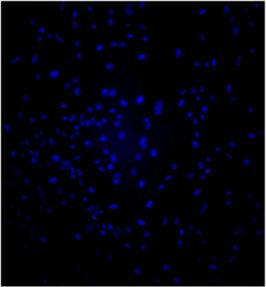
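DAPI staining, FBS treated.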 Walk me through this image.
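Fluorescence view of cultured cells in which only the nuclei are lit, blue on a black background. The nuclei are small, oval to round and of similar size, spread across the field with clear dark space between most of them. A few appear brighter than others. No cytoplasm, cell outlines or processes are visible. The nuclei are somewhat more closely set near the middle of the field, where a faint diffuse blue glow lies in the background, and become more scattered toward the corners.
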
